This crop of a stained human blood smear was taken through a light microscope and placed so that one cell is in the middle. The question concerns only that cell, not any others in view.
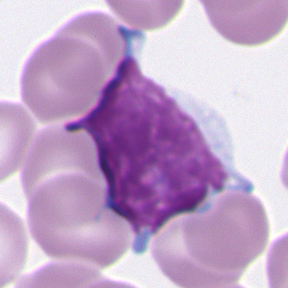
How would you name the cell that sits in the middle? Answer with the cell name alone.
typical lymphocyte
